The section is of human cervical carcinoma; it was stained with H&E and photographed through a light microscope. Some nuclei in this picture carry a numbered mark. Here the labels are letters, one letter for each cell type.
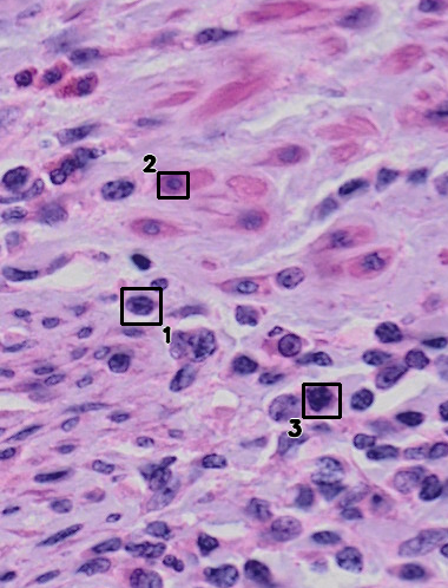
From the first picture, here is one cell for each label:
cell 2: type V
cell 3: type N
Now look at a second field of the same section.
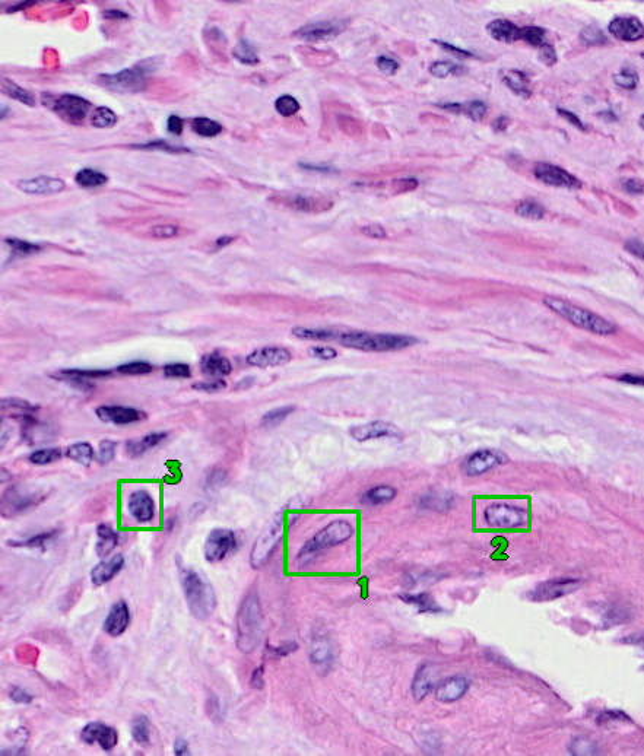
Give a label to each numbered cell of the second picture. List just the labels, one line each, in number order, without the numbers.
type V
type V
type N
